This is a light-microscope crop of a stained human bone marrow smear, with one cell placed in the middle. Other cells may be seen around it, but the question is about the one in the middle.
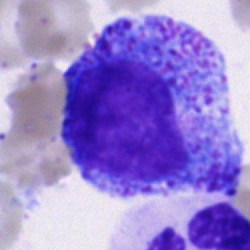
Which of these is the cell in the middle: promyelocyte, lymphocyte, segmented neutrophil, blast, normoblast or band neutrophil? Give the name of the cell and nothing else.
promyelocyte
